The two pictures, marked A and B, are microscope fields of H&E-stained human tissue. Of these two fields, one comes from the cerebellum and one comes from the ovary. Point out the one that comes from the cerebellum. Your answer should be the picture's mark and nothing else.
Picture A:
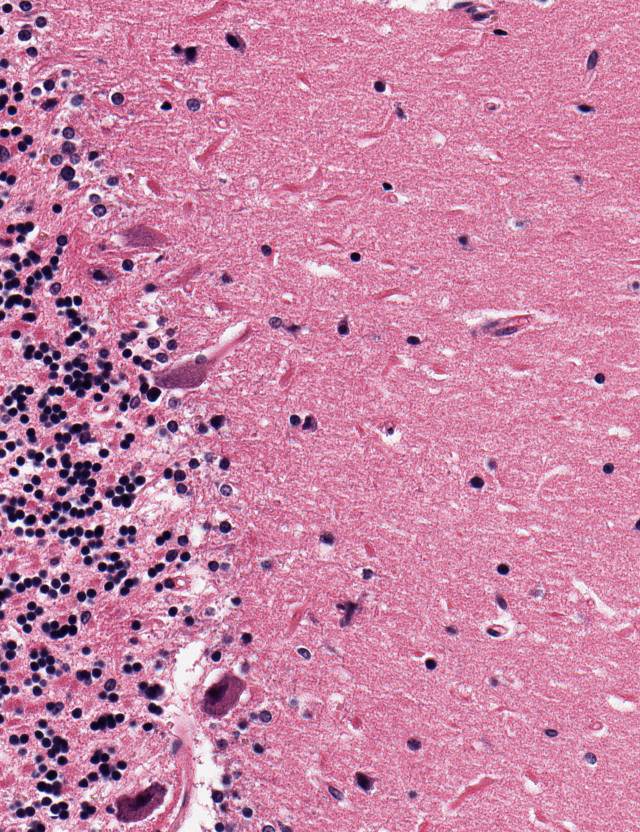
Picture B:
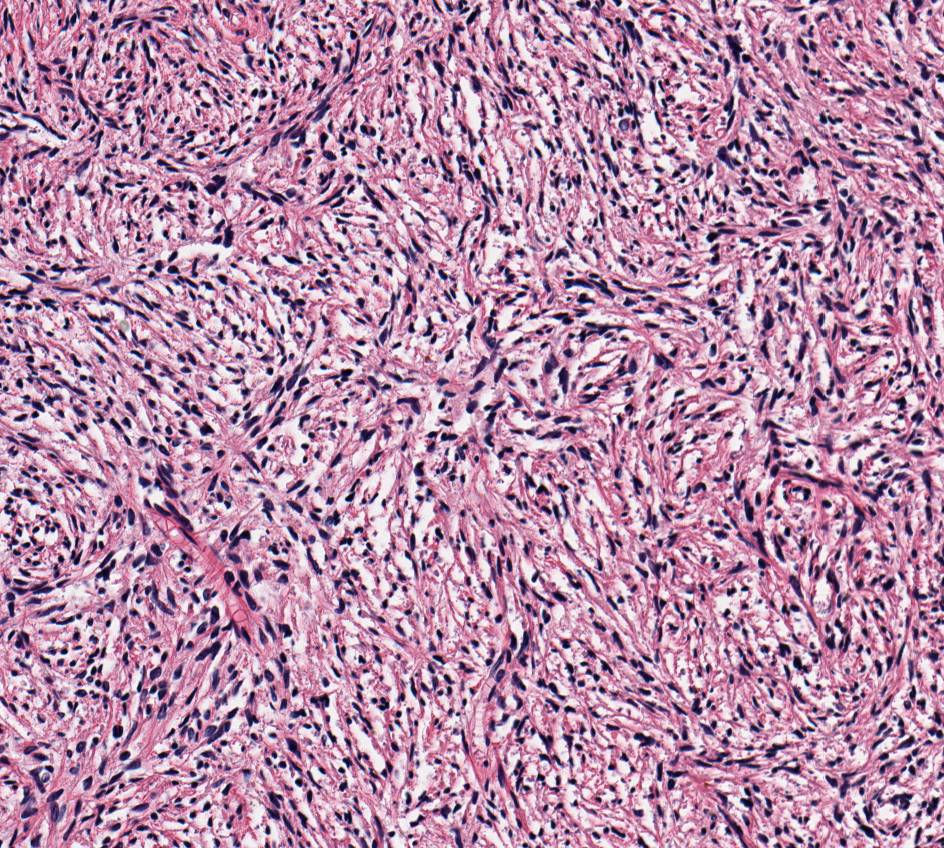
A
